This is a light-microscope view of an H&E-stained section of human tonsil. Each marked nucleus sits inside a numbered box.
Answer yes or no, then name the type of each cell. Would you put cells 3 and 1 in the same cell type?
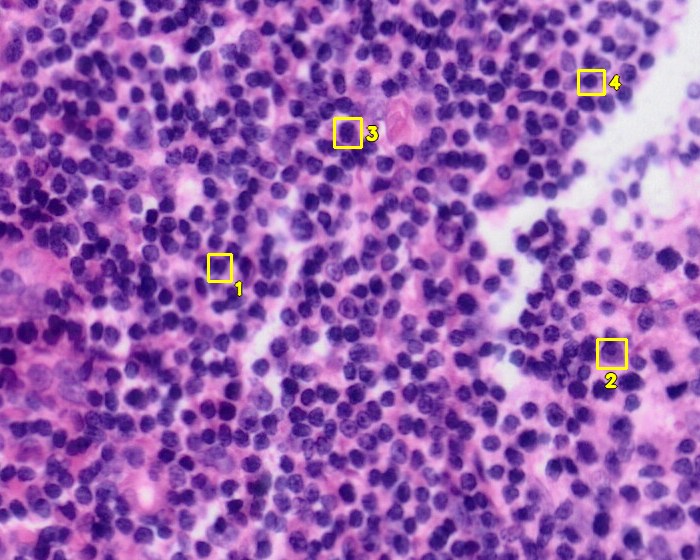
Yes, that is correct, cells 3 and 1 are both small lymphocytes.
